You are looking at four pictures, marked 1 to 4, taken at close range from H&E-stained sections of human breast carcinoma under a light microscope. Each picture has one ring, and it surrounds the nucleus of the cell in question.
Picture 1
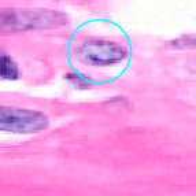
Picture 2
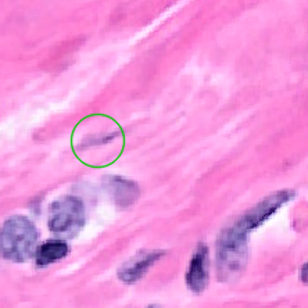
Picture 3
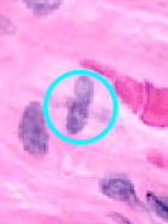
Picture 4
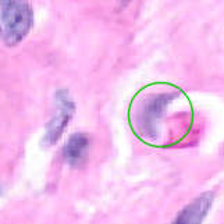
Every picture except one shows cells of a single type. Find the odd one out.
2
